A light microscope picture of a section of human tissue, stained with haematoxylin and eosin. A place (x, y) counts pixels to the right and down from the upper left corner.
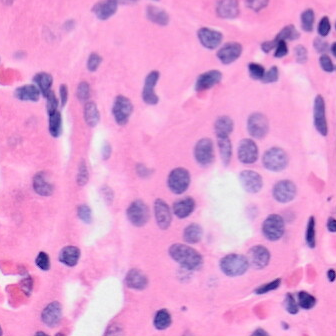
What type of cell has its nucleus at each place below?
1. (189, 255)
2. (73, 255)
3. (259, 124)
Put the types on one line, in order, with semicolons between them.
collecting duct cell; loop of Henle or distal tubule cell; collecting duct cell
